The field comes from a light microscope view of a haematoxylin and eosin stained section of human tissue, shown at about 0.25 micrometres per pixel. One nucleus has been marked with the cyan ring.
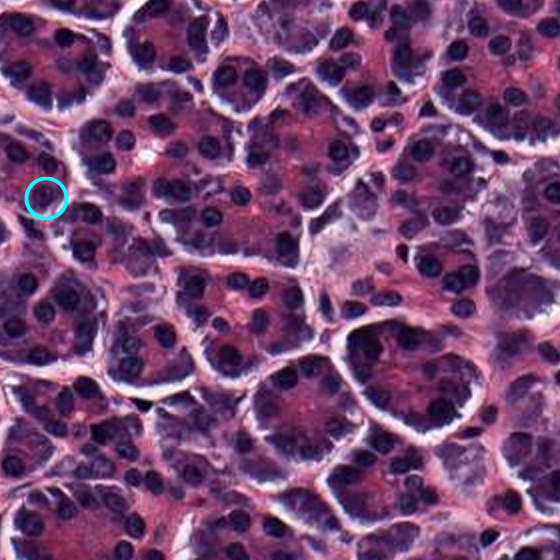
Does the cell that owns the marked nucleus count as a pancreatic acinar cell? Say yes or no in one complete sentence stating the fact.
Yes, a pancreatic acinar cell is the cell to which the marked nucleus belongs.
